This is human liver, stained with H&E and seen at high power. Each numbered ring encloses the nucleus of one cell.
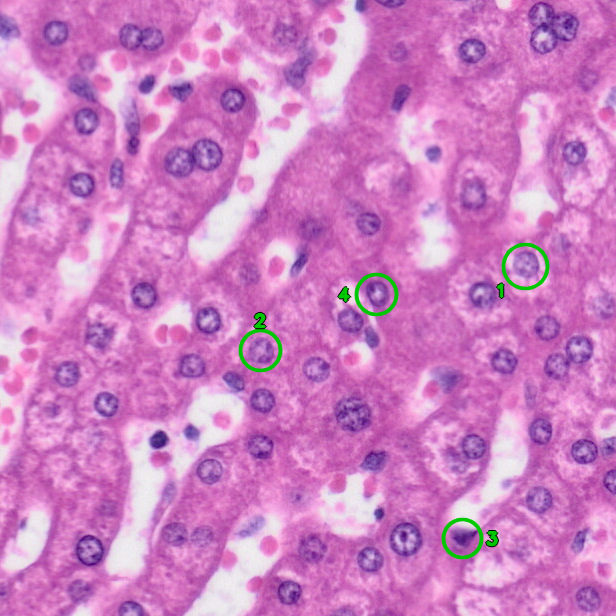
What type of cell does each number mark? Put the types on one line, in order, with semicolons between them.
hepatocyte; hepatocyte; endothelial cell; hepatocyte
